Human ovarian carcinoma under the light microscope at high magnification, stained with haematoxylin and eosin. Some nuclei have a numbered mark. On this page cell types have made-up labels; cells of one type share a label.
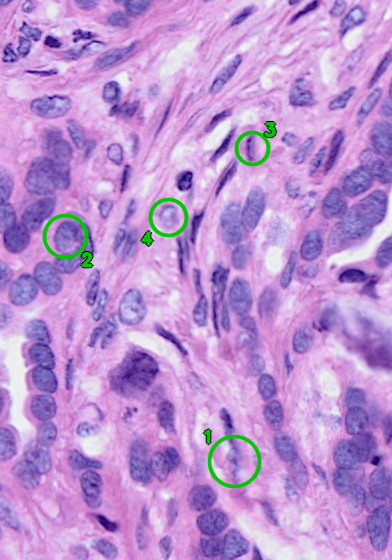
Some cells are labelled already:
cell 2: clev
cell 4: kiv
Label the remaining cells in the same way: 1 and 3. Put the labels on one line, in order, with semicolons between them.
kiv; kiv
